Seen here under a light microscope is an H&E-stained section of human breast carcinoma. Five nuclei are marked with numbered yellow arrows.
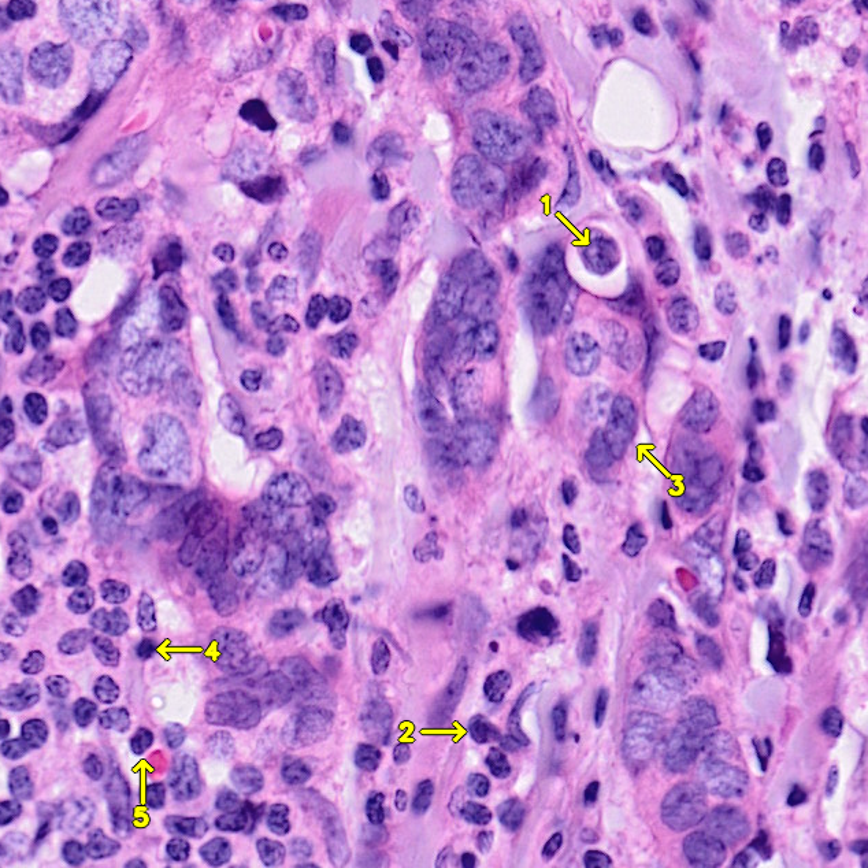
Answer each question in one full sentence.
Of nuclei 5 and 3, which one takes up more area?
At about 3 times the area of nucleus 5, nucleus 3 is the larger of the two.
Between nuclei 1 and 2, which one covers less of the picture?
It is nucleus 2; nucleus 1 has about 1.5 times its area.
